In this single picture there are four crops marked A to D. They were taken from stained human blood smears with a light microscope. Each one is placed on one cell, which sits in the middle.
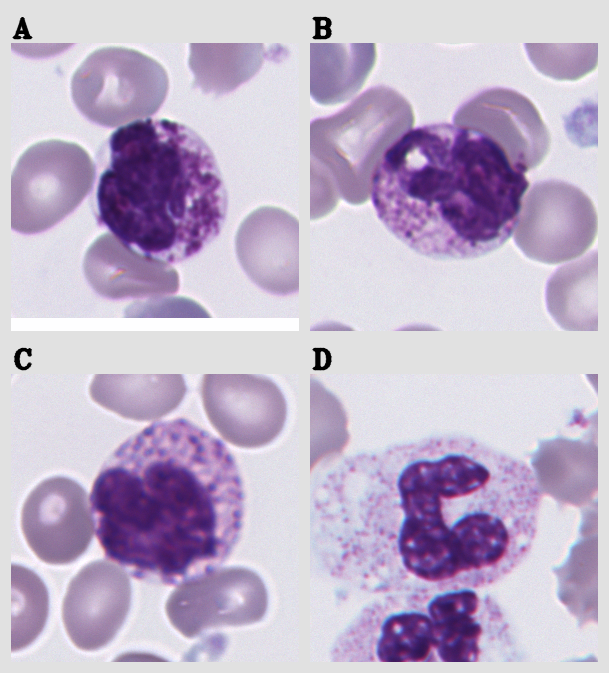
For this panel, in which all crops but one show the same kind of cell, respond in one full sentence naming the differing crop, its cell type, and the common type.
In crop D the central cell is a segmented neutrophil, whereas the other crops all contain basophils.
